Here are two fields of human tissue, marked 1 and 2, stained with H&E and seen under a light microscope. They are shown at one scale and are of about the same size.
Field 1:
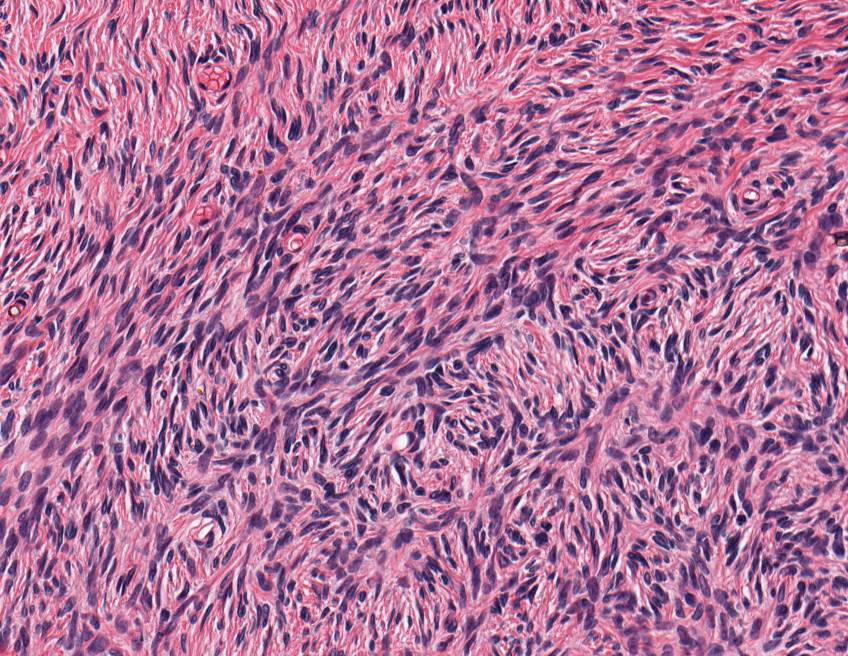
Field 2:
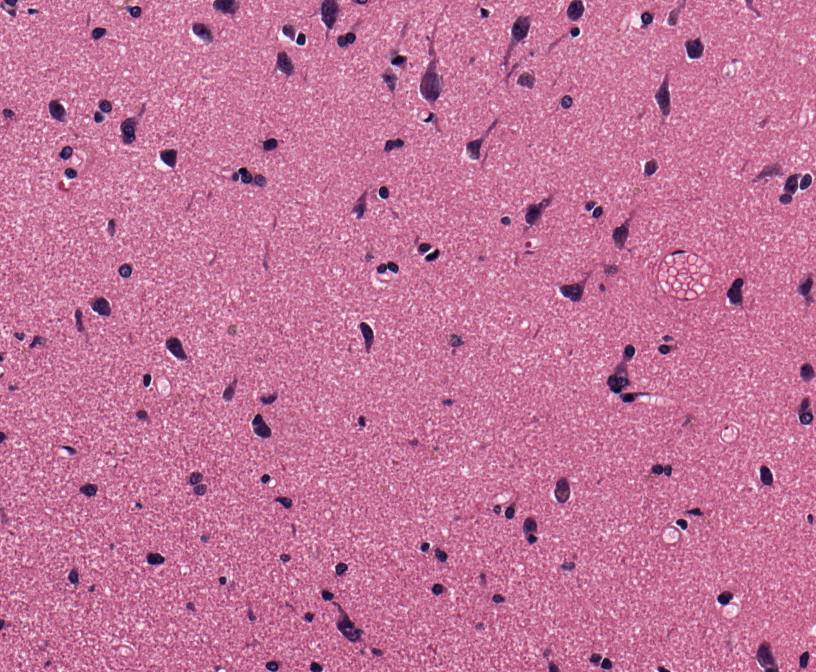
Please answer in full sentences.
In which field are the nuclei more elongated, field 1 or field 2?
It is field 1 whose nuclei are the more elongated.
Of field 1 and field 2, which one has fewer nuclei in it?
Fewer nuclei lie in field 2 than in field 1.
